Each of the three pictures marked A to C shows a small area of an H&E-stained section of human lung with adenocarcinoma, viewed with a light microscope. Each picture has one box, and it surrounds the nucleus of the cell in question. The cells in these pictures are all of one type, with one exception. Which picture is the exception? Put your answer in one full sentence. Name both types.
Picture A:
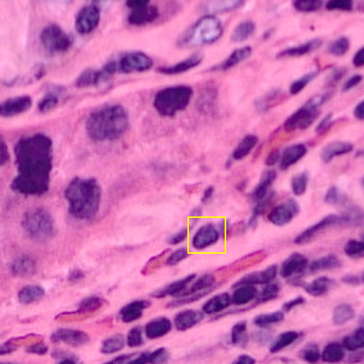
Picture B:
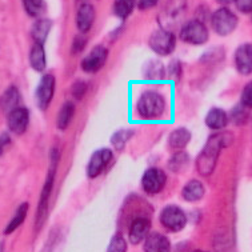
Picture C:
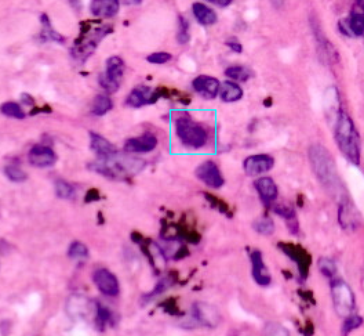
Unlike the rest, which show lymphocytes, picture C shows a plasma cell.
